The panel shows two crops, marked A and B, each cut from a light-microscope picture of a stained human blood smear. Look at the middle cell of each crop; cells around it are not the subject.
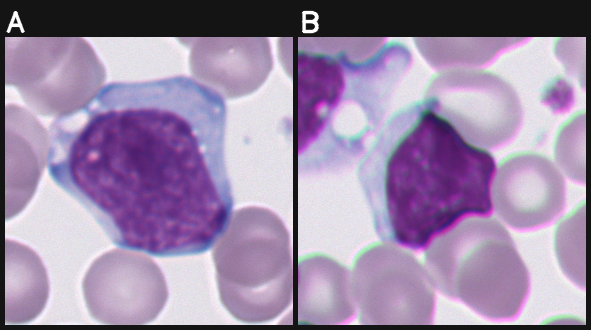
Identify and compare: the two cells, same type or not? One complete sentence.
No, crop A features a myeloblast, and crop B features a typical lymphocyte.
